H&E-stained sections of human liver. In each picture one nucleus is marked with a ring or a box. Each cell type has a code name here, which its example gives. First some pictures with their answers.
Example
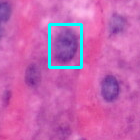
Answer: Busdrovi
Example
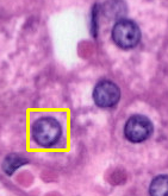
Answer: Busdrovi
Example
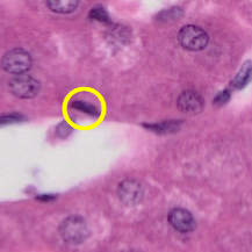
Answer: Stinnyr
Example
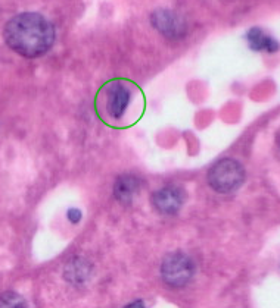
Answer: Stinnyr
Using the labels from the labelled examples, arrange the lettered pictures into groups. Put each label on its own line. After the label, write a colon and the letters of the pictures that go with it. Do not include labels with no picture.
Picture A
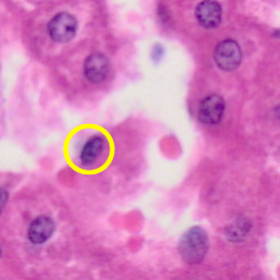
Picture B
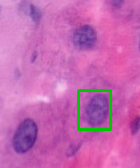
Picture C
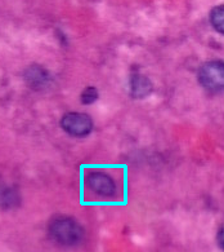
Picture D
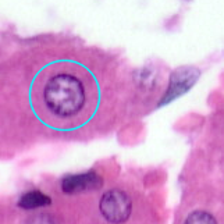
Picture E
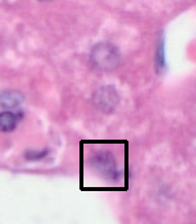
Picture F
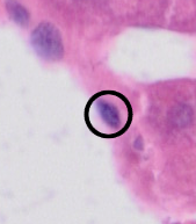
Busdrovi: B, C, D
Stinnyr: A, E, F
